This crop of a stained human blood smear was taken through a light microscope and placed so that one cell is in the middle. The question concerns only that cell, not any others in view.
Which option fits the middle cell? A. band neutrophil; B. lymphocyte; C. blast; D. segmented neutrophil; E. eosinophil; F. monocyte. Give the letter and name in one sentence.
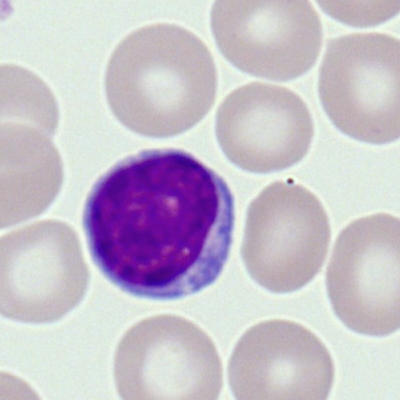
Option B is correct in that the central cell is a lymphocyte.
